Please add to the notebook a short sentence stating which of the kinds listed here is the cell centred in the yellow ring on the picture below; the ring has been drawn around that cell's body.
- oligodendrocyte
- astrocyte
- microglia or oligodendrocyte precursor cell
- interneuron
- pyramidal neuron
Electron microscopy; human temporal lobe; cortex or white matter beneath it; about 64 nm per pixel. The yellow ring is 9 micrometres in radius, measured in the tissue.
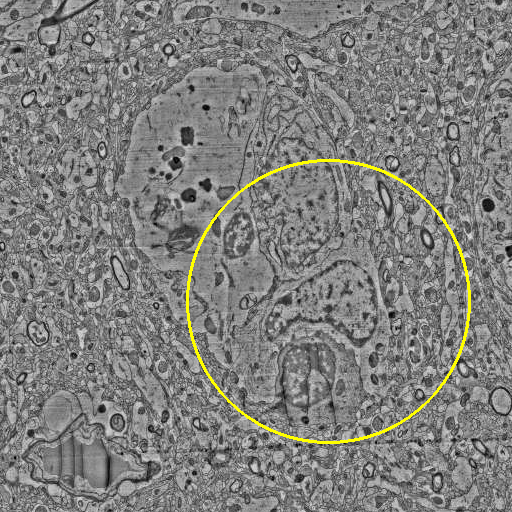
The cell centred in the yellow ring is a microglial cell or oligodendrocyte precursor cell.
